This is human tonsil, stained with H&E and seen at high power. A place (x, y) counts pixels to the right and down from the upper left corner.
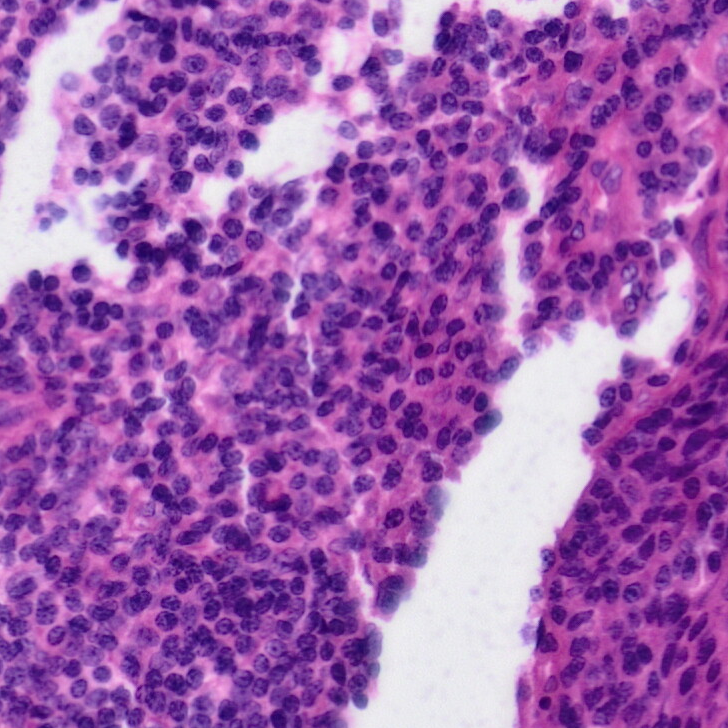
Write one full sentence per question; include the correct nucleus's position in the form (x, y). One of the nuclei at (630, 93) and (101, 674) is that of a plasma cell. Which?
Of the two nuclei, the nucleus belonging to a plasma cell is located at (630, 93).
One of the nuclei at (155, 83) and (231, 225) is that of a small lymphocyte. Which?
The pair contains one nucleus of a small lymphocyte, namely the one at (155, 83).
